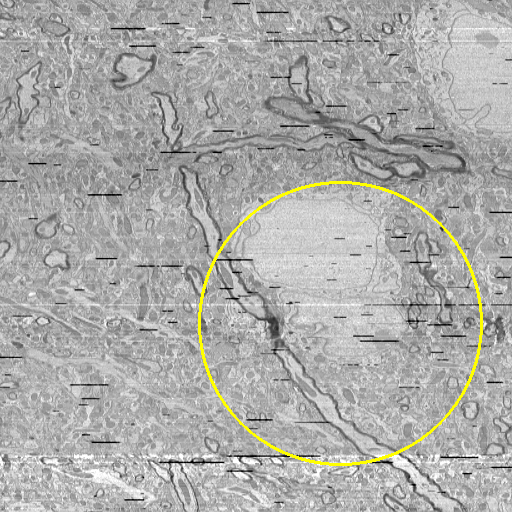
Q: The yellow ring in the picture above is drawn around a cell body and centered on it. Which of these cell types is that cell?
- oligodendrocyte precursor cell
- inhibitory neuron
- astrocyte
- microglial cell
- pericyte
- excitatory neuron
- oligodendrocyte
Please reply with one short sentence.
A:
The cell body at the ring's center belongs to an oligodendrocyte precursor cell.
